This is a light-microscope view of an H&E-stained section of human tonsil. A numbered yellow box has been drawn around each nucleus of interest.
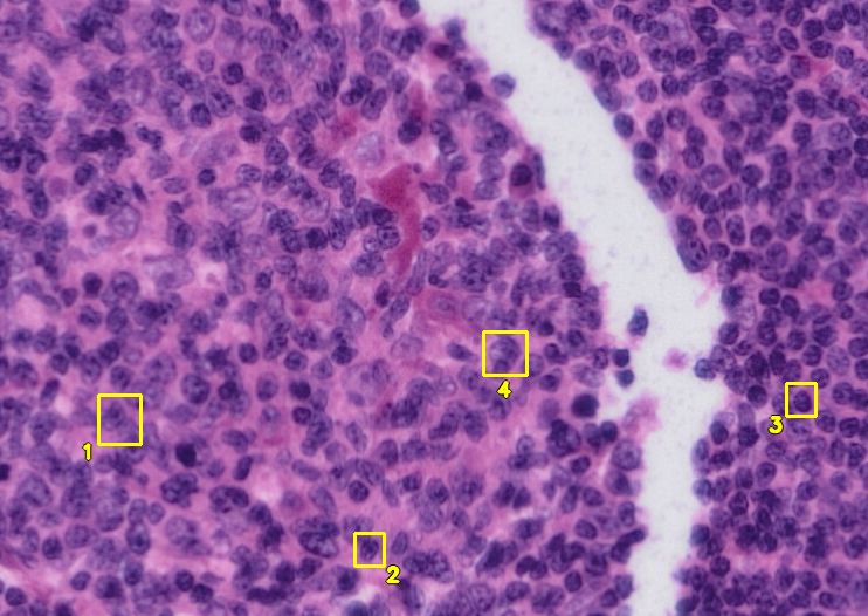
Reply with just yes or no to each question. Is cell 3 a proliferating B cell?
no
